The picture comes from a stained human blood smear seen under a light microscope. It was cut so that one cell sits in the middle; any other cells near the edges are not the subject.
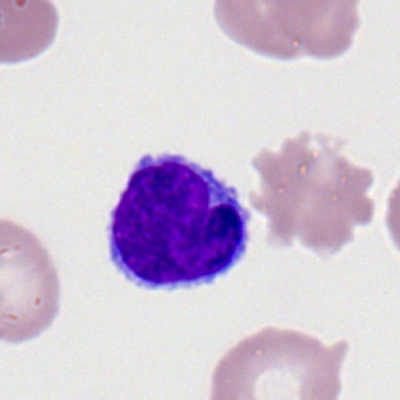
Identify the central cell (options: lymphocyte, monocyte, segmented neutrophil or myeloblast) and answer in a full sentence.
The centrally placed cell is classified as a lymphocyte.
